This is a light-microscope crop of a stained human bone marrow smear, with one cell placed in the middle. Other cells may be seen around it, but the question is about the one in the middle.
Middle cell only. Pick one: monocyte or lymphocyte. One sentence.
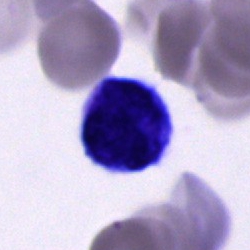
The crop's centre is taken up by a lymphocyte.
